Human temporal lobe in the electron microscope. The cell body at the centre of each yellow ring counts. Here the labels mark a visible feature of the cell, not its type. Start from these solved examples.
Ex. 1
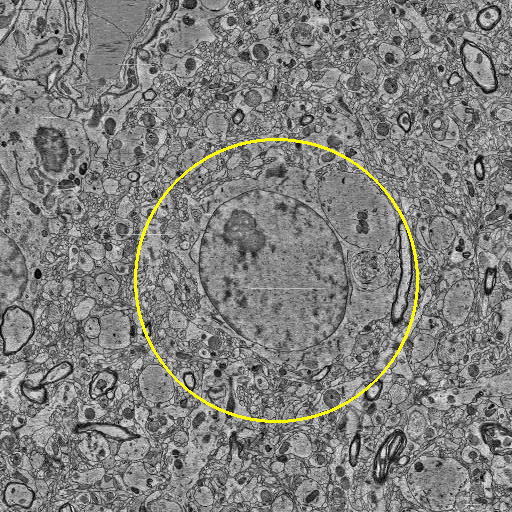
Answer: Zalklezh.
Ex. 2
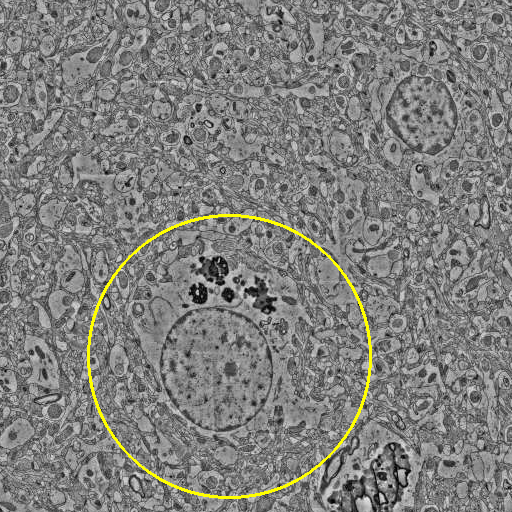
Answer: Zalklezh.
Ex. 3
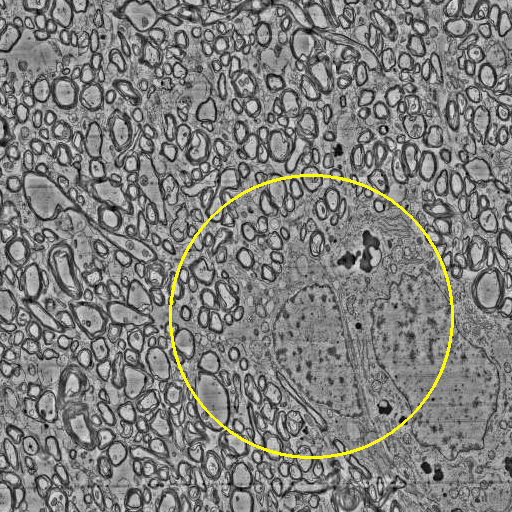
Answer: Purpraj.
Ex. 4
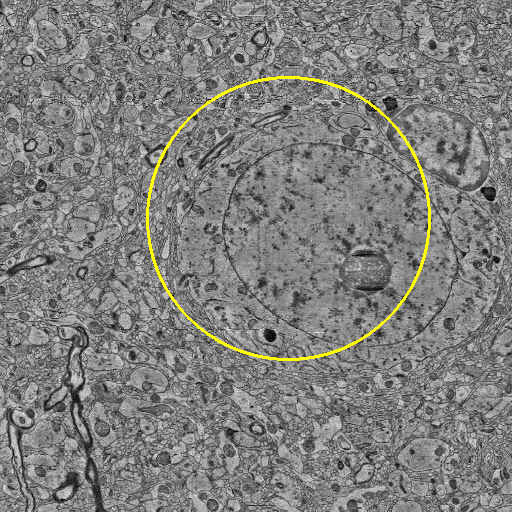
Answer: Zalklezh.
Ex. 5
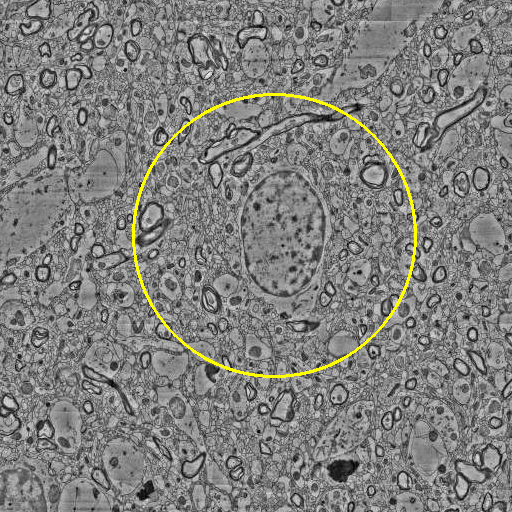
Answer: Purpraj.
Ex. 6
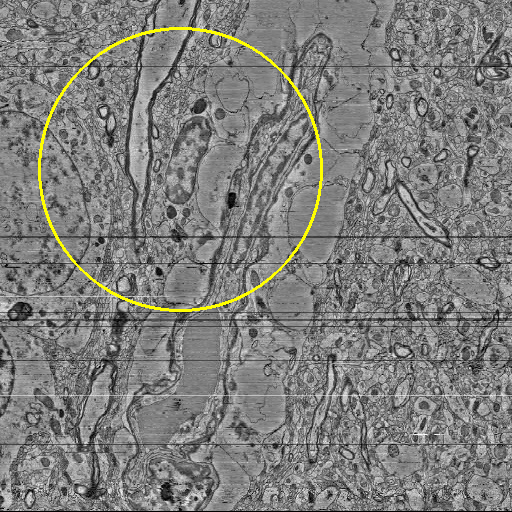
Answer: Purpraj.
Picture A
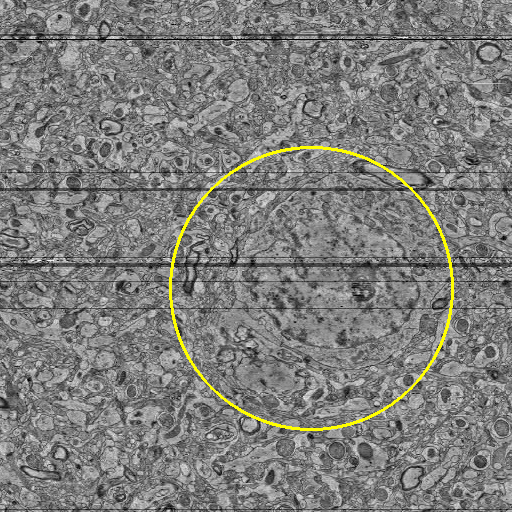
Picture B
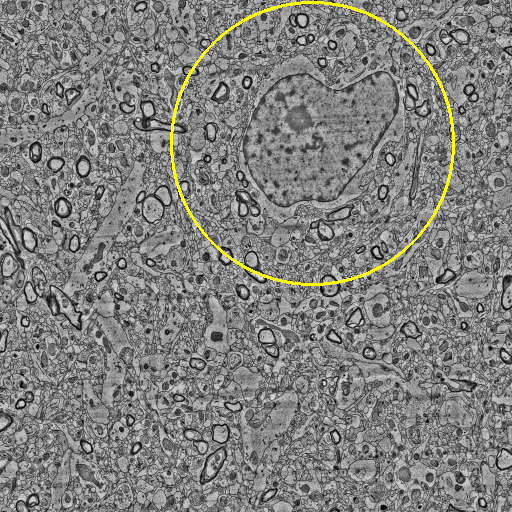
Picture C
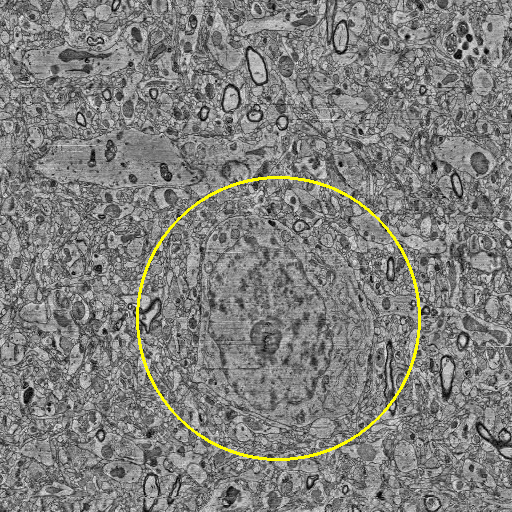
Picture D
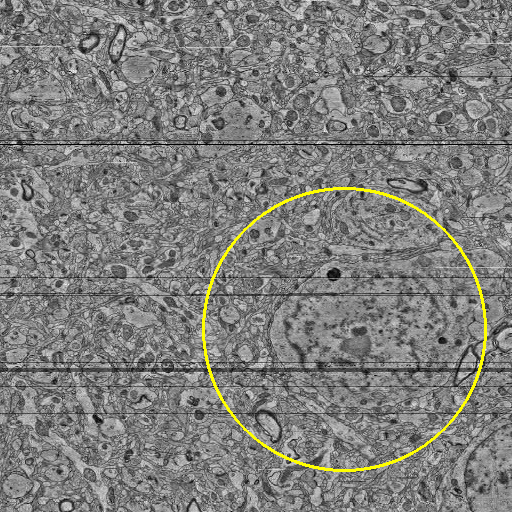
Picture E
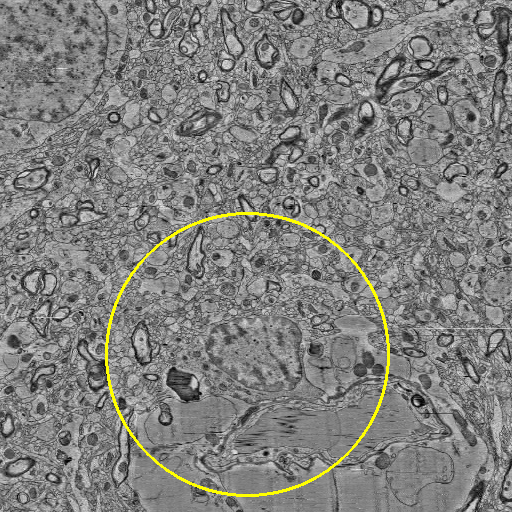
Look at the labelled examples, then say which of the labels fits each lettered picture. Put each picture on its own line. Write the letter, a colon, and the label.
A: Zalklezh.
B: Zalklezh.
C: Zalklezh.
D: Zalklezh.
E: Purpraj.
